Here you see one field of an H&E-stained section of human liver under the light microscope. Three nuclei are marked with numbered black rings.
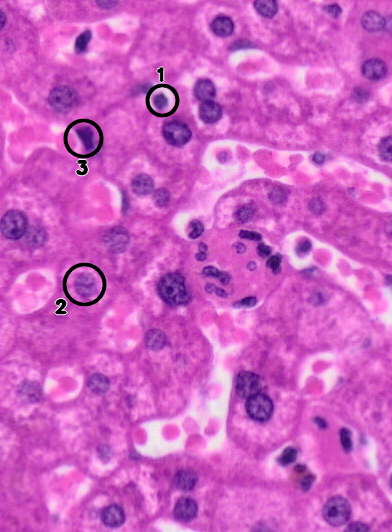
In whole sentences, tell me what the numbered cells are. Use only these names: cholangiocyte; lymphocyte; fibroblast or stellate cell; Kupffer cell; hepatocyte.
Cell 1 is a lymphocyte. Cell 2 is a hepatocyte. Cell 3 is a fibroblast or stellate cell.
